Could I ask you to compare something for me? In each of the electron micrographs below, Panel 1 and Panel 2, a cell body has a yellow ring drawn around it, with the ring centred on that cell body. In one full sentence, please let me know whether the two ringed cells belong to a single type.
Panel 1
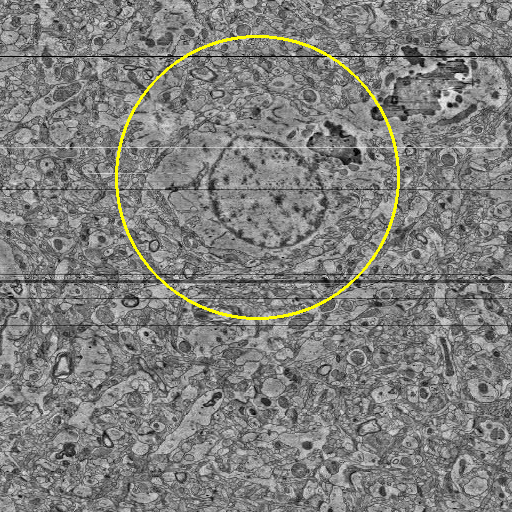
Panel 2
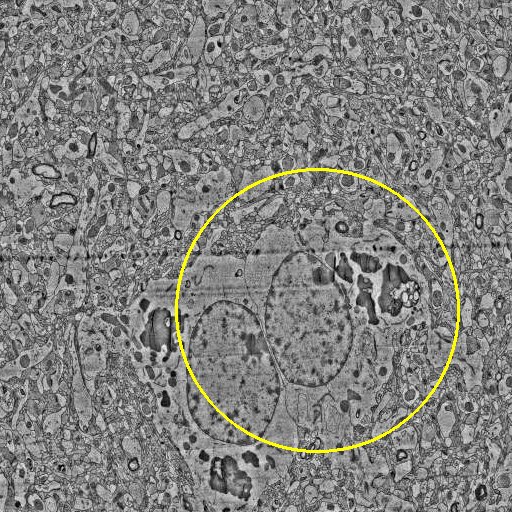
Yes, the two cells at the centres of the rings are of one type.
